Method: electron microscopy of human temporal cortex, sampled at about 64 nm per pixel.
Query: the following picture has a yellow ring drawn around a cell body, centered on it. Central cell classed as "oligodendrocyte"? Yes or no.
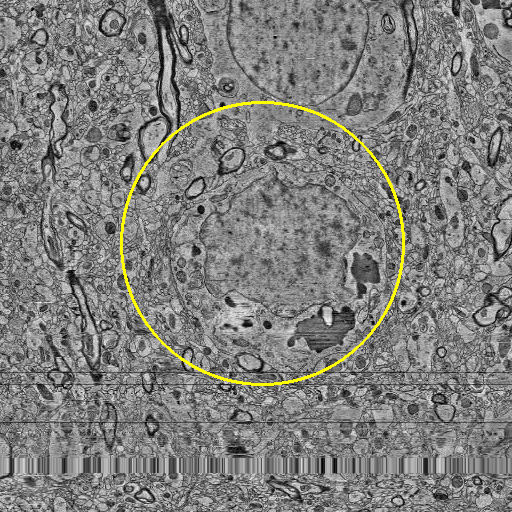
no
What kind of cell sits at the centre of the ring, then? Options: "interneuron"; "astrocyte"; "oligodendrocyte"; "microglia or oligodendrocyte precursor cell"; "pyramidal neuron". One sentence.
Instead, what sits at the centre of the ring is an interneuron.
